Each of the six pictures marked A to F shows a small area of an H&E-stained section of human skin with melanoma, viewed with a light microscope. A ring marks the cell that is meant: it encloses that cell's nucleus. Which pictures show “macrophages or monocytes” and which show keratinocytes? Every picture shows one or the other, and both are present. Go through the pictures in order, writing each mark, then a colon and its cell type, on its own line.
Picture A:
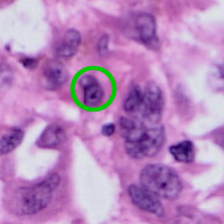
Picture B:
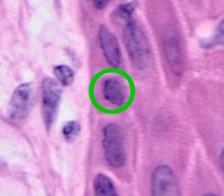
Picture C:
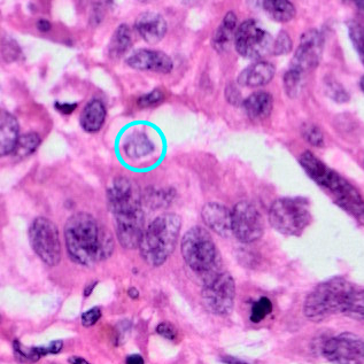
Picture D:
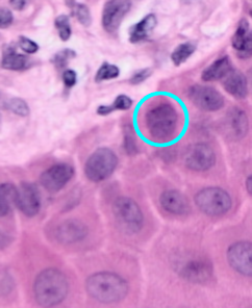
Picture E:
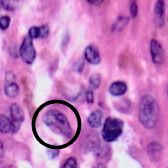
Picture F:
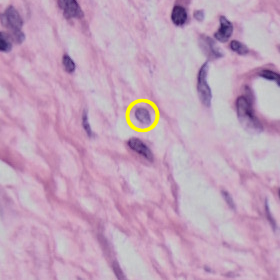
A: macrophage or monocyte
B: keratinocyte
C: macrophage or monocyte
D: keratinocyte
E: macrophage or monocyte
F: macrophage or monocyte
